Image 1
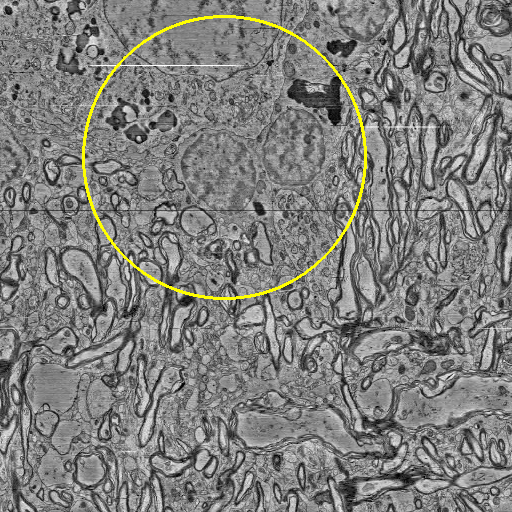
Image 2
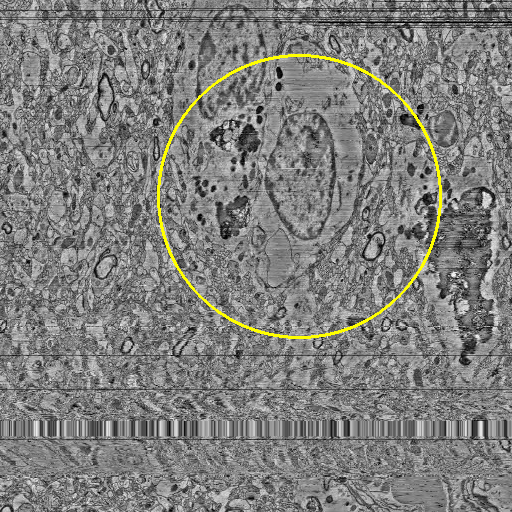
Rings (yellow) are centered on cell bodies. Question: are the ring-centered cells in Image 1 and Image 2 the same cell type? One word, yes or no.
no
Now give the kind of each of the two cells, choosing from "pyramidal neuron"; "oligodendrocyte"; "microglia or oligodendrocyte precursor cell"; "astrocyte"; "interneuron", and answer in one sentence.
The cell in the first picture is an oligodendrocyte, and the cell in the second is an astrocyte.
